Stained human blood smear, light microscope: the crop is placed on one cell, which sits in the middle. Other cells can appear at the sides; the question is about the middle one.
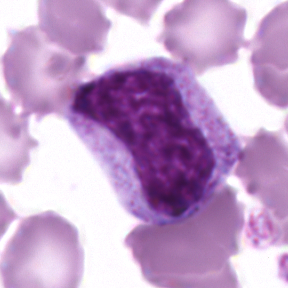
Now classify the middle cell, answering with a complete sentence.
To answer, the cell in the center of the crop is a metamyelocyte.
